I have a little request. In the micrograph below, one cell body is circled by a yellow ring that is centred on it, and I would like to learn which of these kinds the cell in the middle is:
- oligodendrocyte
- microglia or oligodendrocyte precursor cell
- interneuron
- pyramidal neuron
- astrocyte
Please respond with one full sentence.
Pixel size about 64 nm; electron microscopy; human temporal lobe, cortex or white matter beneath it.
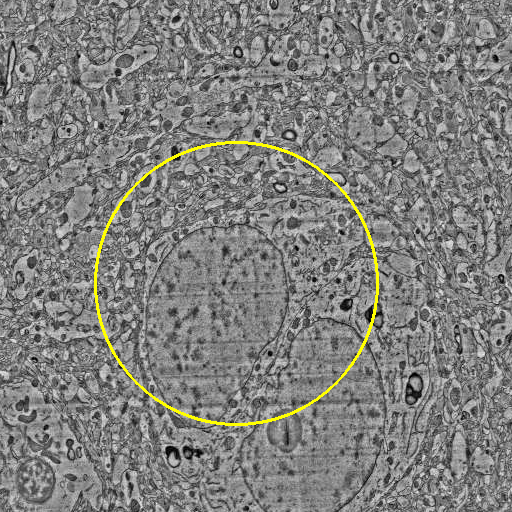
The cell sitting in the middle of the yellow ring in the micrograph is a pyramidal neuron.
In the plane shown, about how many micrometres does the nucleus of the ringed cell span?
The ringed cell's nucleus measures approximately 12 by 9 micrometres in this plane.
